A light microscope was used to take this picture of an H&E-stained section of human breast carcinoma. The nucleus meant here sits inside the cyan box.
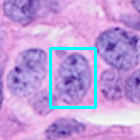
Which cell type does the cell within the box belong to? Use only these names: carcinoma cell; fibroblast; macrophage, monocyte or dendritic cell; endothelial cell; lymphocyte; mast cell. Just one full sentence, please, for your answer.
Considered by cell type, the cell within the box is a carcinoma cell.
